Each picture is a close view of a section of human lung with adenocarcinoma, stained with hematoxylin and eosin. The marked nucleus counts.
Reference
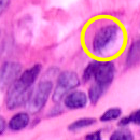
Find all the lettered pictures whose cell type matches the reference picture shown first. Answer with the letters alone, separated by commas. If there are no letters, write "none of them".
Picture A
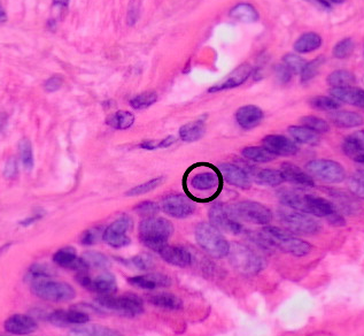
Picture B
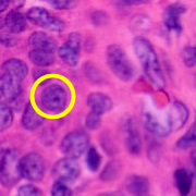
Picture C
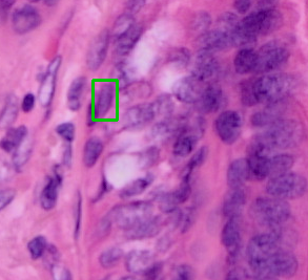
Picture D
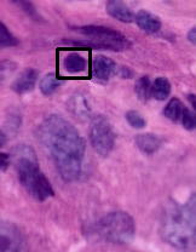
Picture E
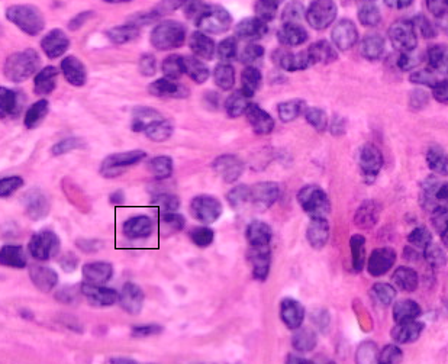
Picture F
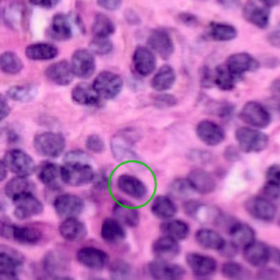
A, B, C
